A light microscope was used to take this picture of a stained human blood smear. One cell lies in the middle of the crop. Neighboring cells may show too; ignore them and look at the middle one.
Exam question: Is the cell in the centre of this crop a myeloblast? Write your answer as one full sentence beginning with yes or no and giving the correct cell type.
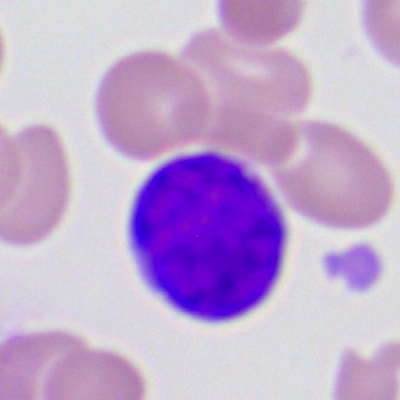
Yes, in the middle of the crop is a myeloblast.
